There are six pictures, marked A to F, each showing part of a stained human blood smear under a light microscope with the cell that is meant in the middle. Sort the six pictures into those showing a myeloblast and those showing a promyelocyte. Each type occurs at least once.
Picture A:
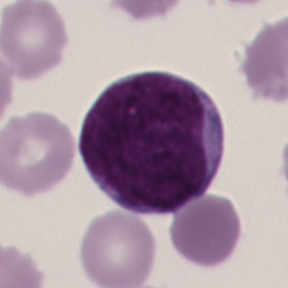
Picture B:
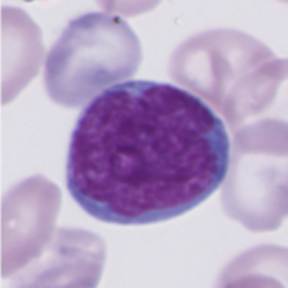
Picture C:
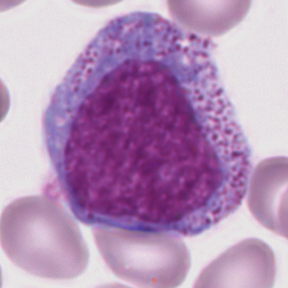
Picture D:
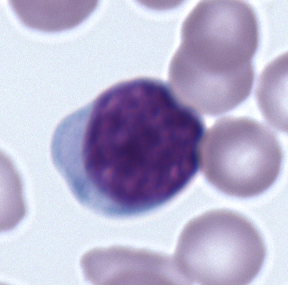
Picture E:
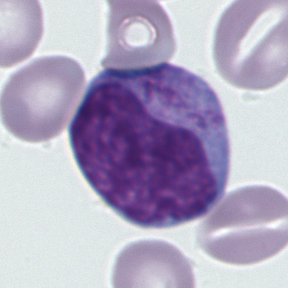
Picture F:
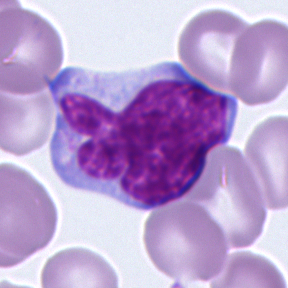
A: myeloblast
B: myeloblast
C: promyelocyte
D: myeloblast
E: promyelocyte
F: myeloblast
